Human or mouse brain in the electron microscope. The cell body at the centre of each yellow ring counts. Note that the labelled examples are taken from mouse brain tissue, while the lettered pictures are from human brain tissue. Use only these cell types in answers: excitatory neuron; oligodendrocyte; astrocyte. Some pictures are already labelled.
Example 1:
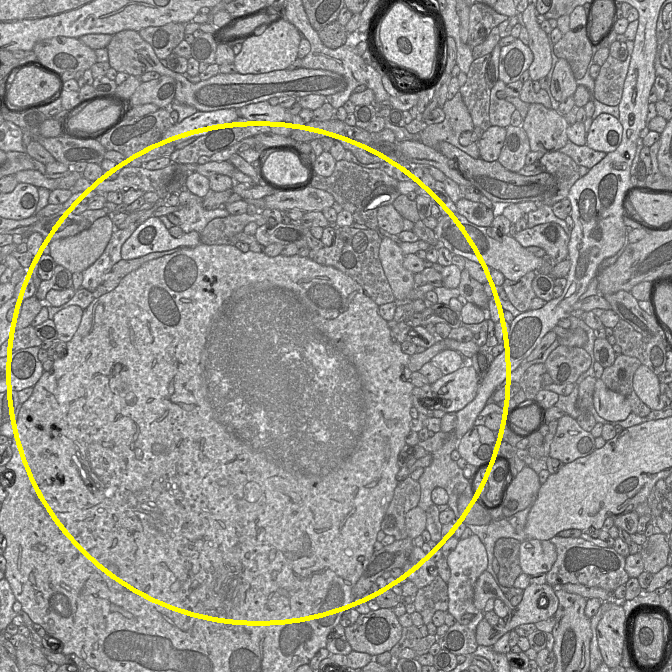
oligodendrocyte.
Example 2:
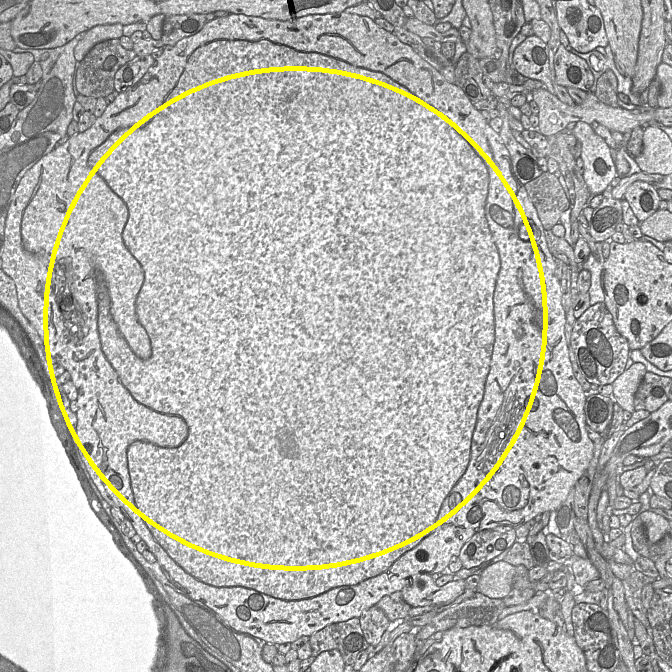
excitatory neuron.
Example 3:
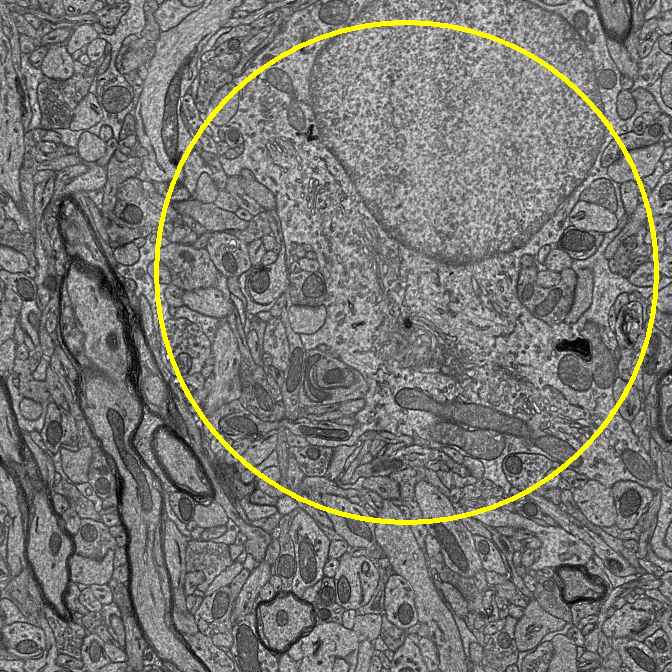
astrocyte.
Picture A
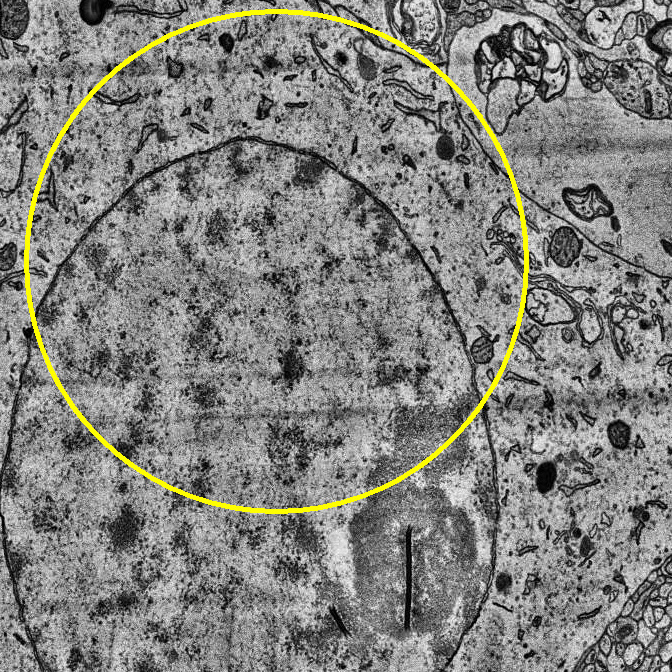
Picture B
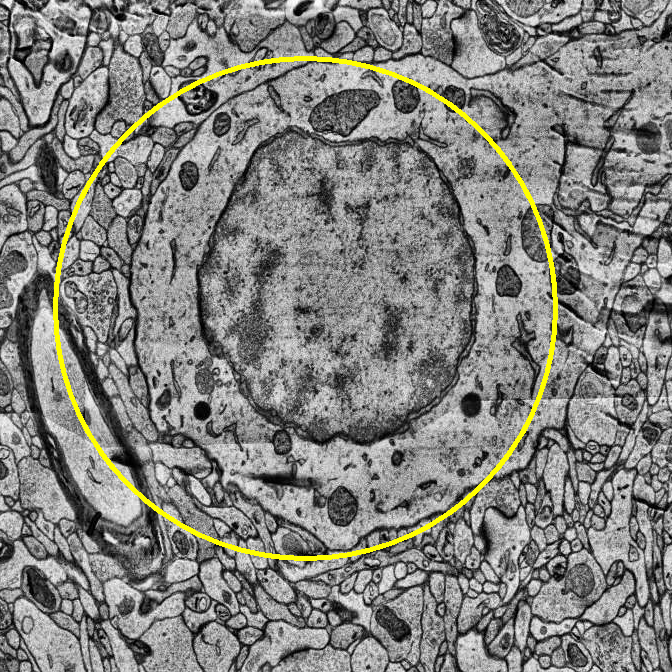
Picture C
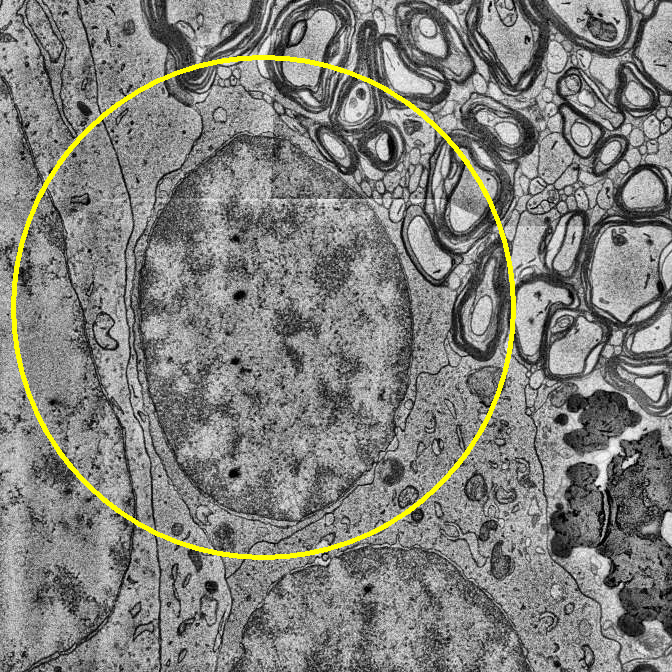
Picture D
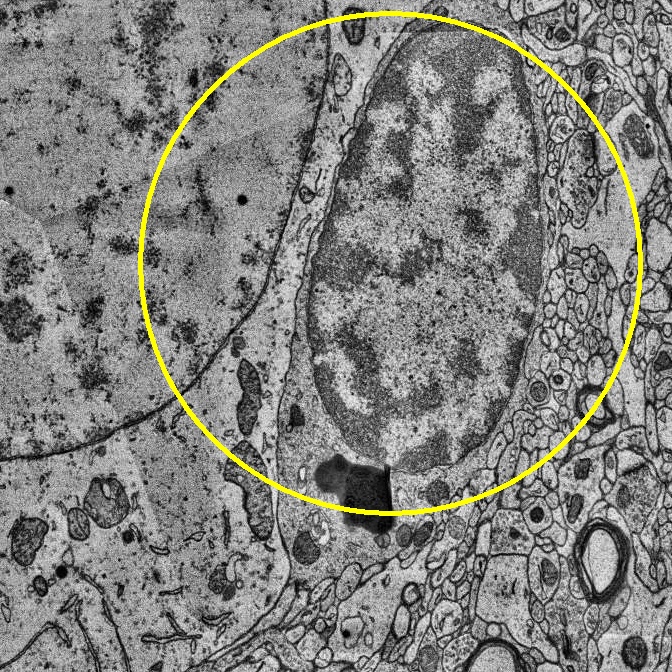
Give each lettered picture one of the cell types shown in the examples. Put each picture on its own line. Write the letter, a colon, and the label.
A: excitatory neuron.
B: excitatory neuron.
C: oligodendrocyte.
D: oligodendrocyte.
